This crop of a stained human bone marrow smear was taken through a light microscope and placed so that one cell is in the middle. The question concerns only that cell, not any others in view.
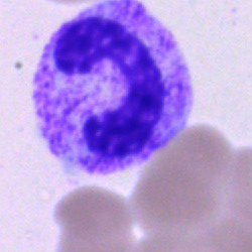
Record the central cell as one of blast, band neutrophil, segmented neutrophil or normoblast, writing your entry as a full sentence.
The cell of interest, in the center, is a band neutrophil.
